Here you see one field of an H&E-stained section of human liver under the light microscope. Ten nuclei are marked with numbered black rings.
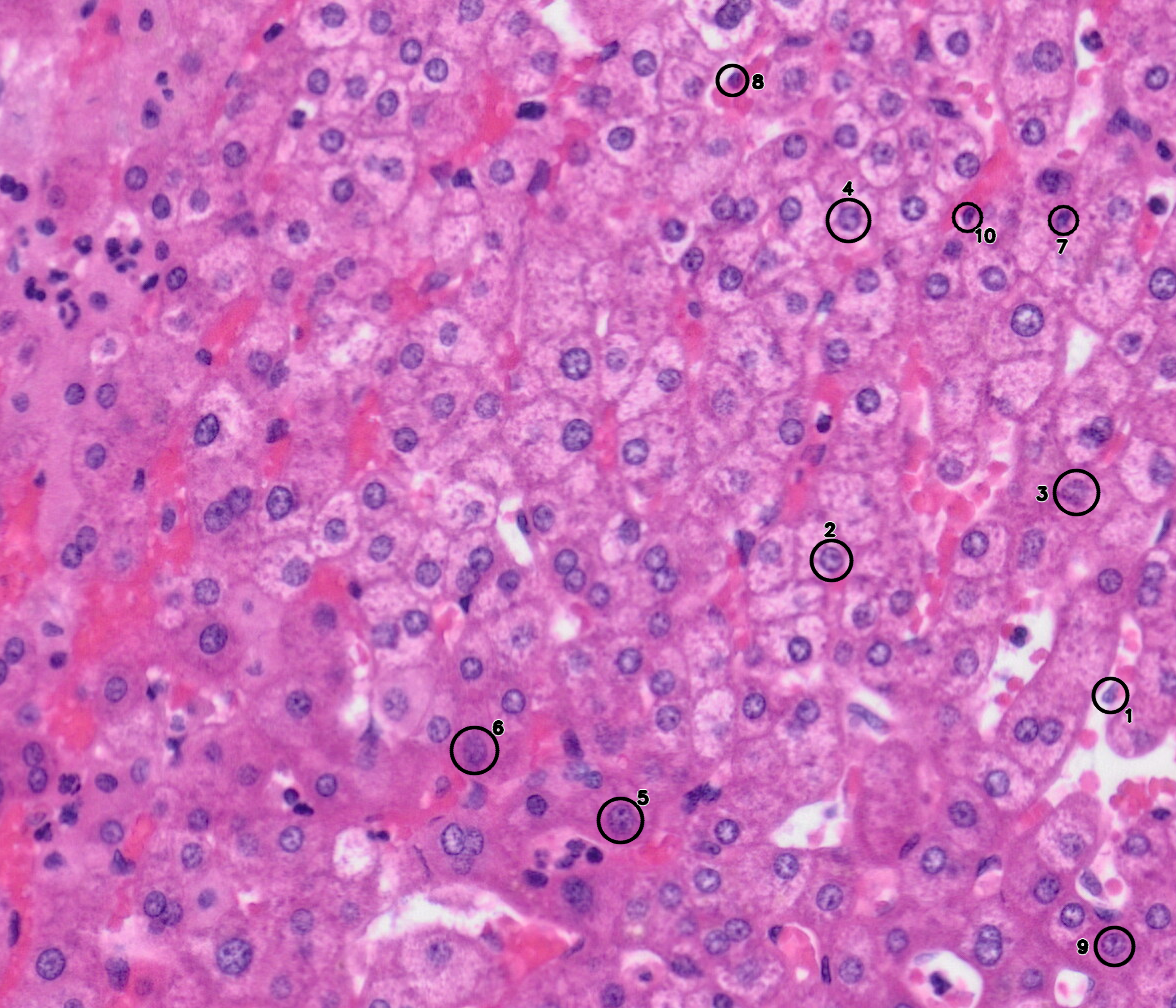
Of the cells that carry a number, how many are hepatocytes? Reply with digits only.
6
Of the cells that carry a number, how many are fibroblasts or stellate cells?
1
